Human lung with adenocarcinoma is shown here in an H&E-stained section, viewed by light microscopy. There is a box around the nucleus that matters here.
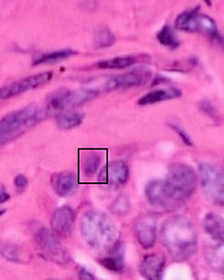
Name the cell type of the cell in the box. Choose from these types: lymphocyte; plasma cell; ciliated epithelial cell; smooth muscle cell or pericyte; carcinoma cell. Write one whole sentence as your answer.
Typologically, the cell in the box is a ciliated epithelial cell in this section.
